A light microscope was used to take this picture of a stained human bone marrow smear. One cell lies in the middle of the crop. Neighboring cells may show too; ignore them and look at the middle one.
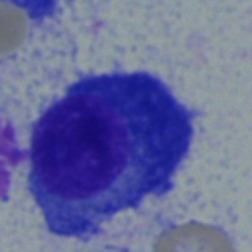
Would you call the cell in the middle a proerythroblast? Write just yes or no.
no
